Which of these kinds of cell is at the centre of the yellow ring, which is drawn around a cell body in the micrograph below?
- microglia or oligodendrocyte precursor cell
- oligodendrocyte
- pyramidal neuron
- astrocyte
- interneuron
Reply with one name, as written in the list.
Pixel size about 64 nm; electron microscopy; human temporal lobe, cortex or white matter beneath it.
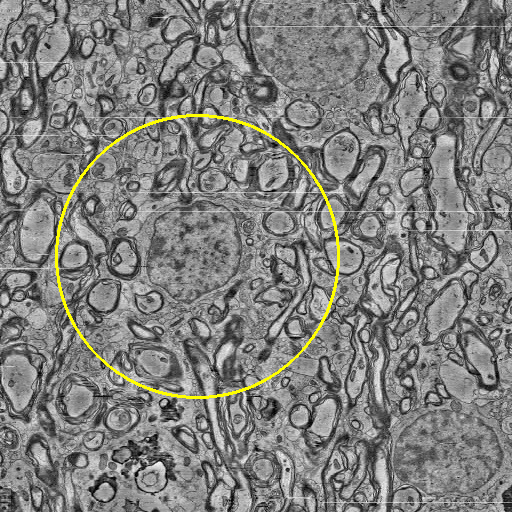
microglia or oligodendrocyte precursor cell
